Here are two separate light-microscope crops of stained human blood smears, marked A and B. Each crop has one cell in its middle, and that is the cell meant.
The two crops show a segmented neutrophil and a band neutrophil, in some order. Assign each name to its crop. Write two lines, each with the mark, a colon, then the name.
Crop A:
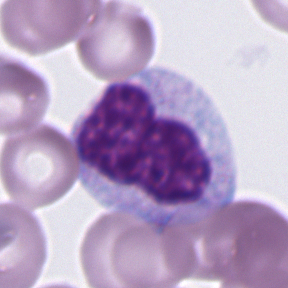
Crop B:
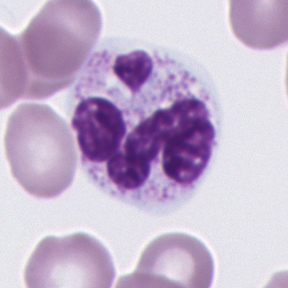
A: band neutrophil
B: segmented neutrophil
